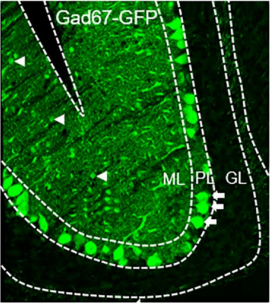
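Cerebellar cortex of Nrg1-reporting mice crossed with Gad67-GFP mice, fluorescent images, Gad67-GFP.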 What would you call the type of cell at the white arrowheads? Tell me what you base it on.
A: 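GABAergic interneurons. The arrowheads point to small scattered cell bodies within the broad outer layer. These cells are much smaller than the large cells in the row beneath.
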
